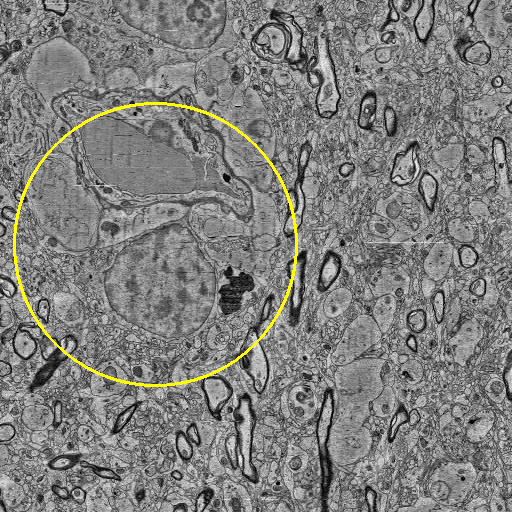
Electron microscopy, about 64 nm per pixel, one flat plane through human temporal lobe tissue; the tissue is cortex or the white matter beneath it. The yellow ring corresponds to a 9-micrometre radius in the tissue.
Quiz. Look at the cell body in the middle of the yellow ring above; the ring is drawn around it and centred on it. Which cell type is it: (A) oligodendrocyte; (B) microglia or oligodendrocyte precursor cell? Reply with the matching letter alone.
A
